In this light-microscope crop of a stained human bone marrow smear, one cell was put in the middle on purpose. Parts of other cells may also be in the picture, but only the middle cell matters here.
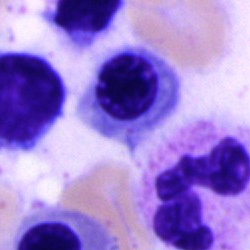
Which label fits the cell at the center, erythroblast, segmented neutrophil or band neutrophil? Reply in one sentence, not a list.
Located at the centre of the crop is an erythroblast.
